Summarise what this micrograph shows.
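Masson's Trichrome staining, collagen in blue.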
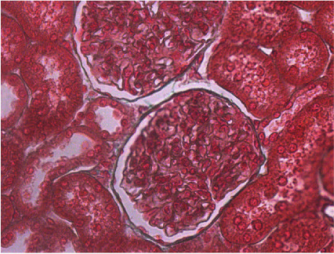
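A glomerulus of the kidney cortex lies in the center, its rounded capillary tuft filled with red-stained cells and small nuclei, packed closely. A thin capsule with a narrow clear space surrounds the tuft. Around it lie cross-sections of tubules, whose cuboidal cells have bright red cytoplasm and rounded nuclei, lining small lumens. Almost no blue-green stain is seen; the tissue is dominated by red, with only a faint pale outline of the capsule and thin gaps between the tubules.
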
